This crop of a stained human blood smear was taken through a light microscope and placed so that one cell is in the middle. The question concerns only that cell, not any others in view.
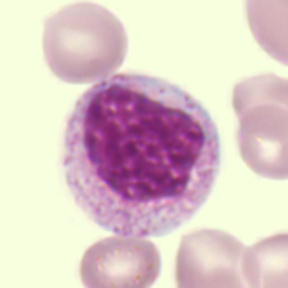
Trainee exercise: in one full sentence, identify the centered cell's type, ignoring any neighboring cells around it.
What the crop centres on is a metamyelocyte.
